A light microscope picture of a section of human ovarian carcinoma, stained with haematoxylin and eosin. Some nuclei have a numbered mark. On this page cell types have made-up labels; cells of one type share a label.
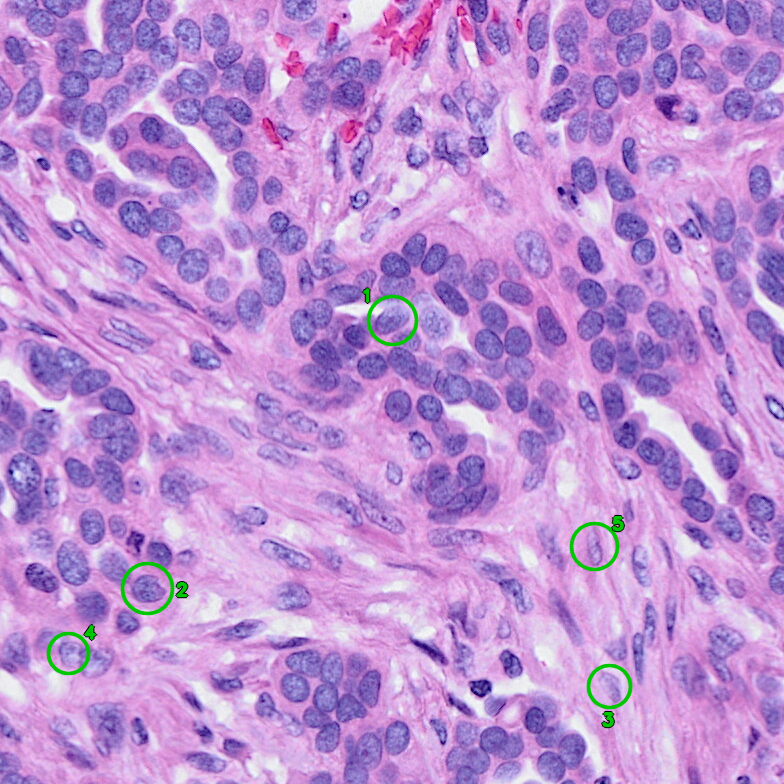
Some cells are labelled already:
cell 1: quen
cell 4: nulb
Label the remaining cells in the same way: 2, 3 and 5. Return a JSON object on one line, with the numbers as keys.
{"2": "quen", "3": "nulb", "5": "nulb"}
